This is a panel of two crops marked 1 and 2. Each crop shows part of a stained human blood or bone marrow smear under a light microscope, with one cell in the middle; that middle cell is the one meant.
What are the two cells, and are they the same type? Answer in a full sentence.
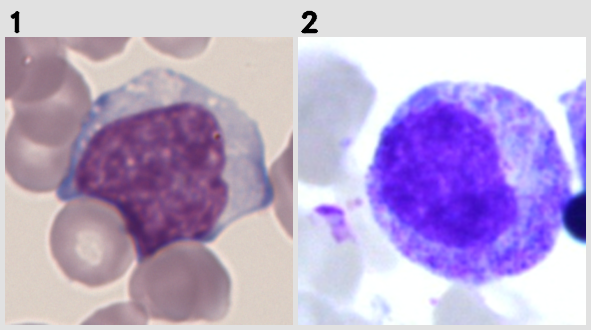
No, a promyelocyte is the cell of crop 2, while a blast is the cell of crop 1.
